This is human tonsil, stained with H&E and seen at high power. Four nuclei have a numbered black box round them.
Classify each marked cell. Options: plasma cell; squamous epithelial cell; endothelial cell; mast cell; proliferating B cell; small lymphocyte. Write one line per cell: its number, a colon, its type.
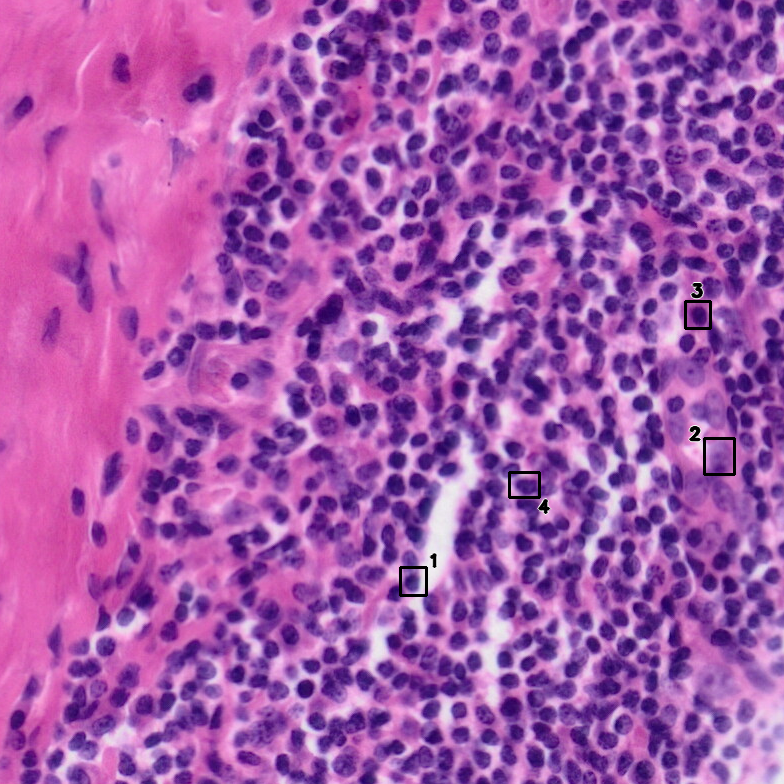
1: small lymphocyte
2: endothelial cell
3: plasma cell
4: small lymphocyte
